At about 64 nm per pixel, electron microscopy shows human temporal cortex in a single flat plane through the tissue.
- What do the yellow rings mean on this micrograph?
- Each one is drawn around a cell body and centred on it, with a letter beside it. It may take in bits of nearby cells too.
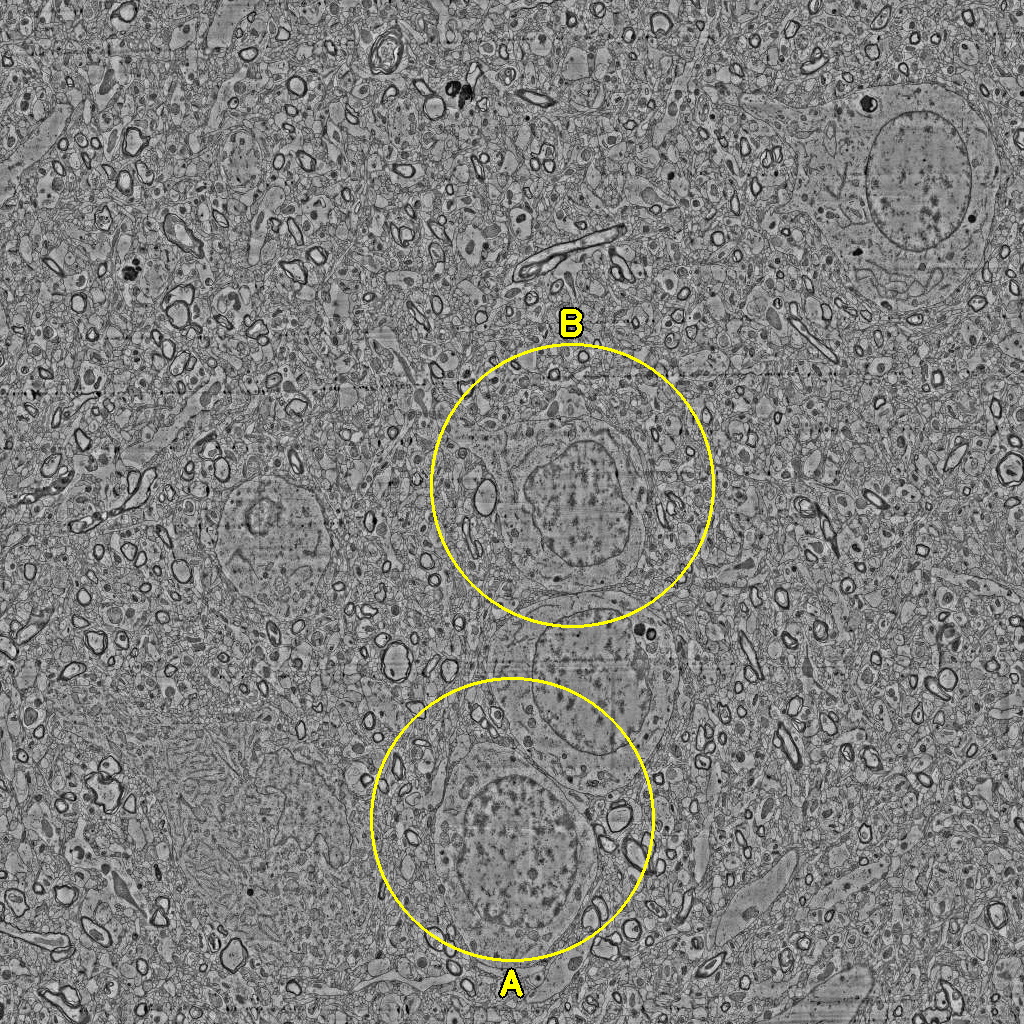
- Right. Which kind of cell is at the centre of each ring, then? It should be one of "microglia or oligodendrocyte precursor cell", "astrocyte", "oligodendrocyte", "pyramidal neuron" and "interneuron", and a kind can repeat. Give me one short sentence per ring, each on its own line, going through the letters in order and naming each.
Ring A circles the cell body of an interneuron.
Ring B circles the cell body of a pyramidal neuron.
